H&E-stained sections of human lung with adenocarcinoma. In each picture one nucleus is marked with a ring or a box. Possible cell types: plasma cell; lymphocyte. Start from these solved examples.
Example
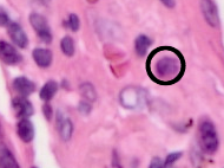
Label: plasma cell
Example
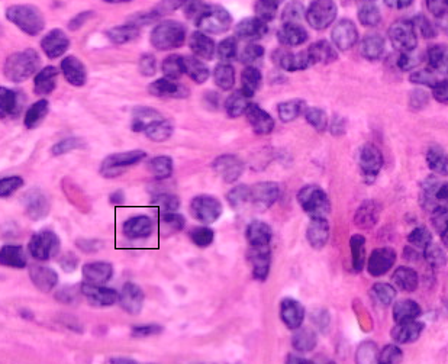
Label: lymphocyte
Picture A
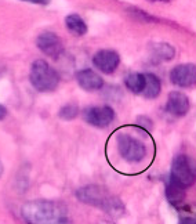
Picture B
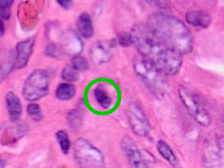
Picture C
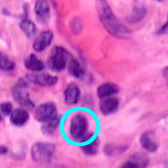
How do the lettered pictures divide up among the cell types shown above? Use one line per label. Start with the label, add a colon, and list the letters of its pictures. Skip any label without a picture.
lymphocyte: A, B, C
